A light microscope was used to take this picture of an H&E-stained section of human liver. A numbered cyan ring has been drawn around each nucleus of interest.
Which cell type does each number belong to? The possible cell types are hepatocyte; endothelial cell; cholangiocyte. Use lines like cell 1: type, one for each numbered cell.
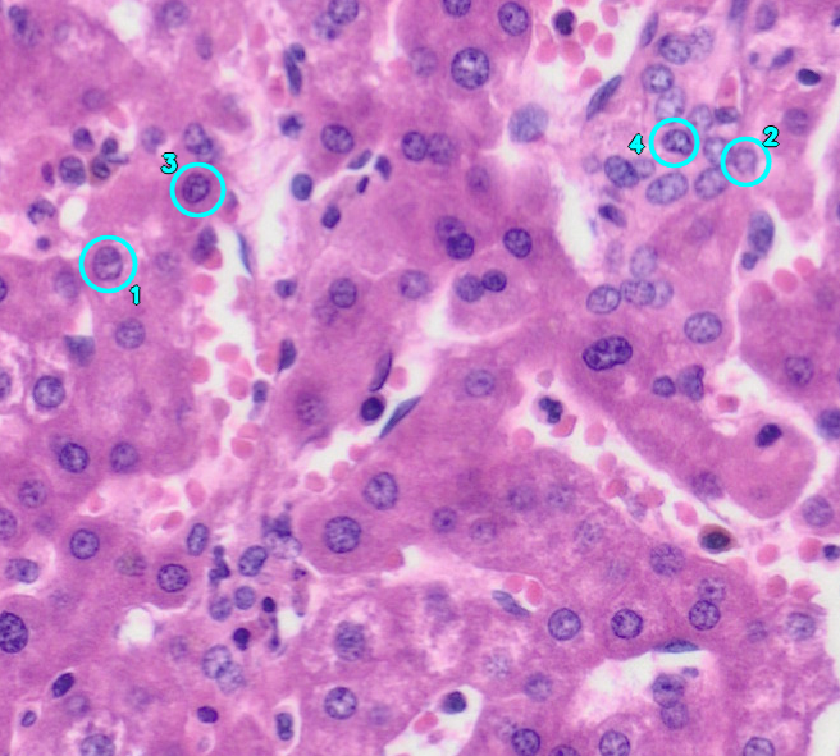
cell 1: hepatocyte
cell 2: cholangiocyte
cell 3: hepatocyte
cell 4: cholangiocyte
